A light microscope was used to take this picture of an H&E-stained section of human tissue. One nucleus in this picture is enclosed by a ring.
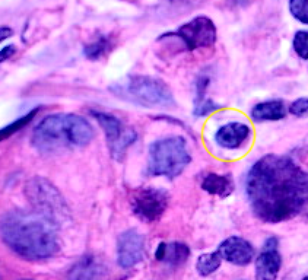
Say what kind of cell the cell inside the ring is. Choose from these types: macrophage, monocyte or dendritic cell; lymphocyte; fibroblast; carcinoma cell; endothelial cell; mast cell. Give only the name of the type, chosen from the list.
lymphocyte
